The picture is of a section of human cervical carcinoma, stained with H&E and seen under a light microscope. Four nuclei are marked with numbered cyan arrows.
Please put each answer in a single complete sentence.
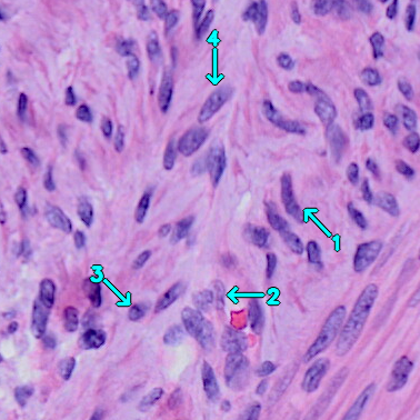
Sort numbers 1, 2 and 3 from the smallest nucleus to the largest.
Smallest first, the nuclei run 3, 2, 1.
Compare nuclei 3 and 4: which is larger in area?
Number 4 is larger; its area is about 2.5 times that of number 3.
